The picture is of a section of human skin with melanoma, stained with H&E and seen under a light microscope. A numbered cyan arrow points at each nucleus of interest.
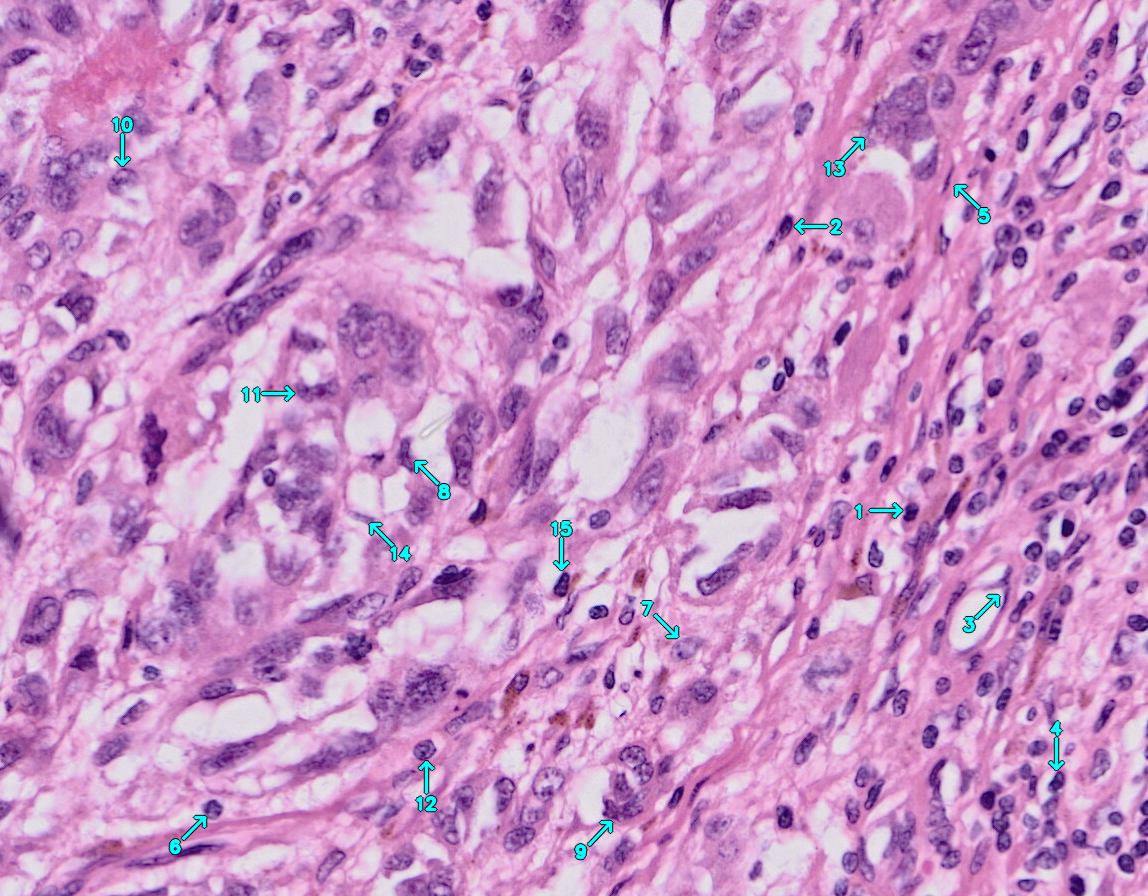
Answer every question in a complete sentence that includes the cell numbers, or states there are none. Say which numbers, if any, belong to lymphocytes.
Cells 2, 4, 6 and 12 share one type; they are lymphocytes.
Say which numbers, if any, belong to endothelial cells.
Only at number 3 is there an endothelial cell.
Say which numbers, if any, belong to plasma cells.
The cells that have numbers 1 and 15 are plasma cells.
